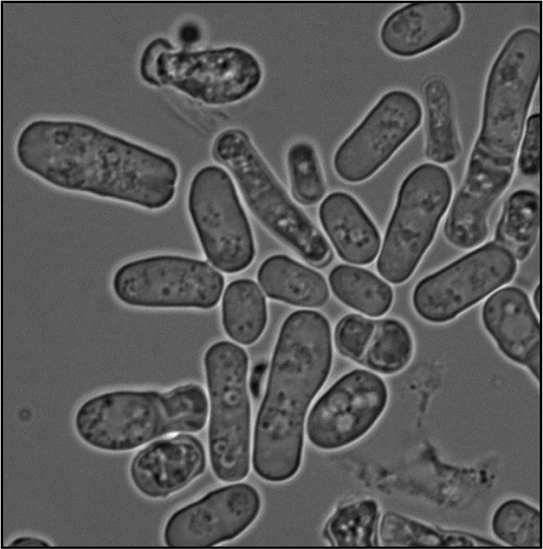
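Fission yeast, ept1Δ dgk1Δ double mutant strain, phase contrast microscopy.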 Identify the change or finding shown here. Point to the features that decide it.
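Several cells appear collapsed or lysed, with pale ghost-like outlines and debris. Cells vary greatly in size, some much larger than neighbours. The answer: cell death.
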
